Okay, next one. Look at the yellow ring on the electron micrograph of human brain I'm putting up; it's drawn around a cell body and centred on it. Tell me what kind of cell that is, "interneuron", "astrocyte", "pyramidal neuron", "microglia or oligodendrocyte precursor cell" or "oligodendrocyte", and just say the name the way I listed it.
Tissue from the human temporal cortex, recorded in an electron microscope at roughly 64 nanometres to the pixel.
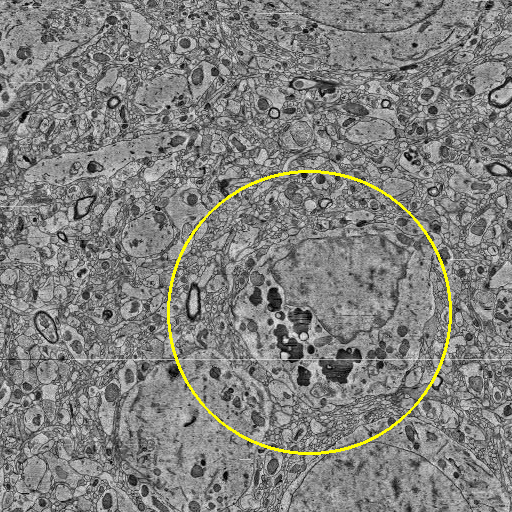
interneuron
